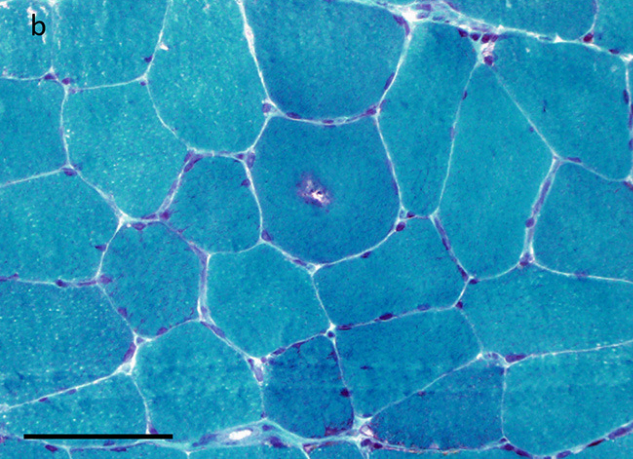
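This is skeletal muscle cut in cross-section, with tightly packed polygonal fibers stained blue-green and small purple nuclei lying at their edges between the fibers. One larger fiber in the centre holds a small clear vacuole lined and partly filled with reddish-purple granular material, a rimmed vacuole, while the surrounding fibers show no such inclusions.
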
